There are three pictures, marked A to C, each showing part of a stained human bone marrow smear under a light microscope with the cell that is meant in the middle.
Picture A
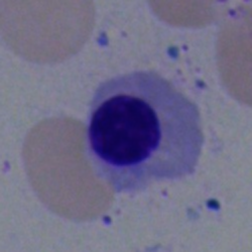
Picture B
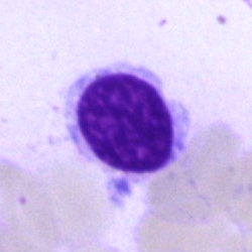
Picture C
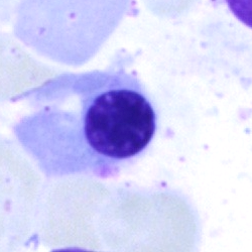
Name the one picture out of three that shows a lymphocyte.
B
